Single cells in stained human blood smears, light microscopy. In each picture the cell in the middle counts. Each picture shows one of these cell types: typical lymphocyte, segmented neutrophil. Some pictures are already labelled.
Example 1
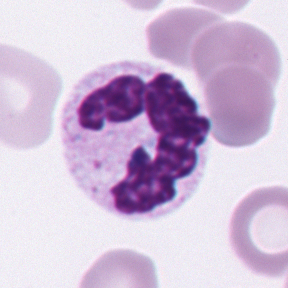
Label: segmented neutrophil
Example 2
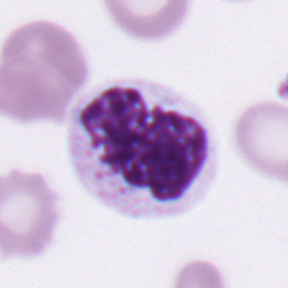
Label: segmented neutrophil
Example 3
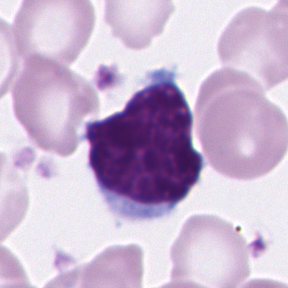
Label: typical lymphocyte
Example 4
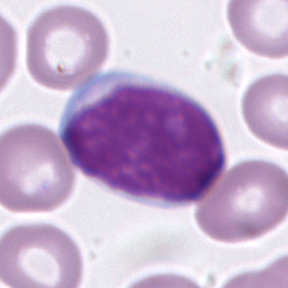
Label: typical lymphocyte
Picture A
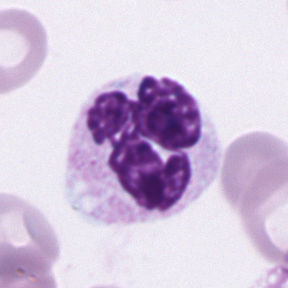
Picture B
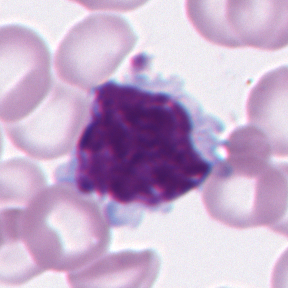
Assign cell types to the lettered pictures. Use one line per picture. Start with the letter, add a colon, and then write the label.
A: segmented neutrophil
B: typical lymphocyte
